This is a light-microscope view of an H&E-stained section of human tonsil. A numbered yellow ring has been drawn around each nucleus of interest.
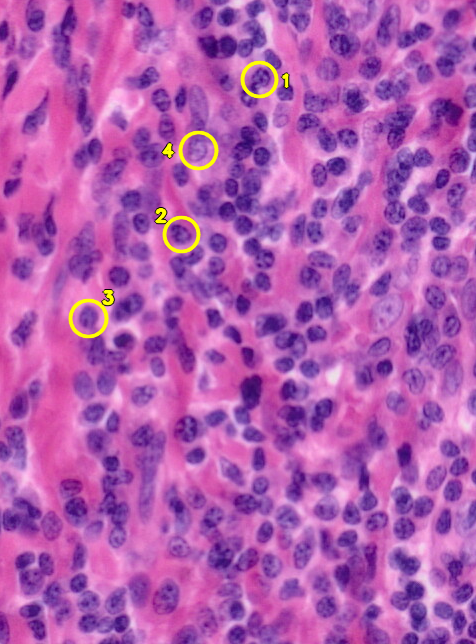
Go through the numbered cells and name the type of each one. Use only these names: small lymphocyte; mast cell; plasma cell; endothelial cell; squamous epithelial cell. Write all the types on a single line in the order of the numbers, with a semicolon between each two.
plasma cell; plasma cell; mast cell; endothelial cell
